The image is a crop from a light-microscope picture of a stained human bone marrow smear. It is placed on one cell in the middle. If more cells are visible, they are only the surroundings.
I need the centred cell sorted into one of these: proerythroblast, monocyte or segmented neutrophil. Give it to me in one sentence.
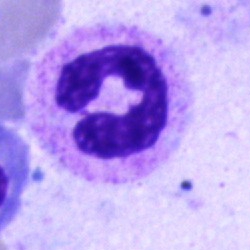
The cell centred in this crop is categorized as a segmented neutrophil.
